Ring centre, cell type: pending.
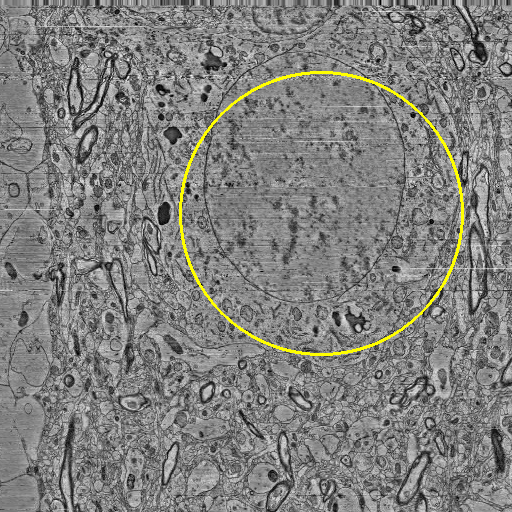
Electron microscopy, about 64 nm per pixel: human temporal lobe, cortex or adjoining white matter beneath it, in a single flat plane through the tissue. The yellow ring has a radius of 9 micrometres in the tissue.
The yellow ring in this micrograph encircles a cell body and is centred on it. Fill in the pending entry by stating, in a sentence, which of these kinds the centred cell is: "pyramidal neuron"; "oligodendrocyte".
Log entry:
The centred cell is recorded as a pyramidal neuron.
